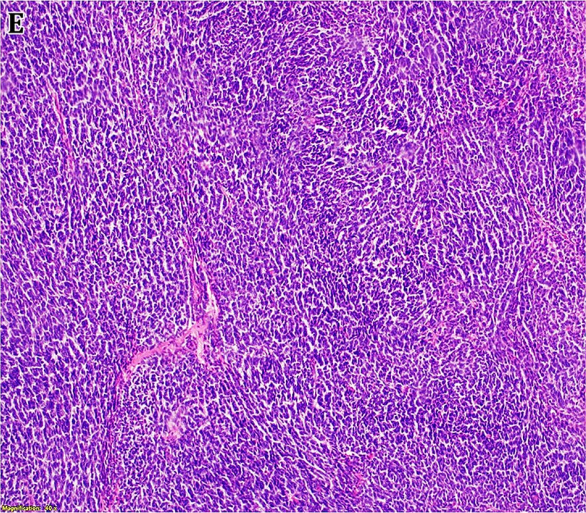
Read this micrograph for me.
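A solid sheet of densely packed tumour cells with scant pale cytoplasm and dark purple, crowded nuclei. The nuclei are oval to elongated and vary in shape, arranged in vague streams and fascicles, crossed by a few thin pink strands of stroma.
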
